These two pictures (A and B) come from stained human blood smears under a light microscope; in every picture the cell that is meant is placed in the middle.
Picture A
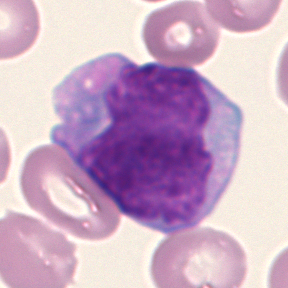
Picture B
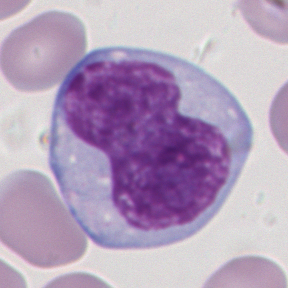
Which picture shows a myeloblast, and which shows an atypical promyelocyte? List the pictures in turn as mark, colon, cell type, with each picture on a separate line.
A: atypical promyelocyte
B: myeloblast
